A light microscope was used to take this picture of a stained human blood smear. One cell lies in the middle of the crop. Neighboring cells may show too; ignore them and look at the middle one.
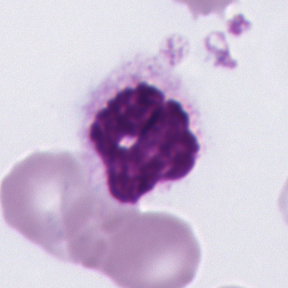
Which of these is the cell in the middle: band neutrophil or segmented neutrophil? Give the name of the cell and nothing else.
segmented neutrophil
